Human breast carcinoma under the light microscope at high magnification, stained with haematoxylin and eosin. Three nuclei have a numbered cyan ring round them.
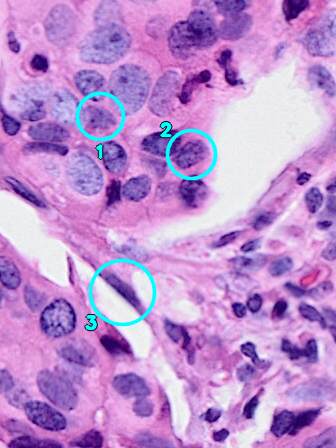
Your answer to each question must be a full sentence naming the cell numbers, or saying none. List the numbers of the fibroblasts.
Just one of the numbered cells is a fibroblast, namely number 3.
